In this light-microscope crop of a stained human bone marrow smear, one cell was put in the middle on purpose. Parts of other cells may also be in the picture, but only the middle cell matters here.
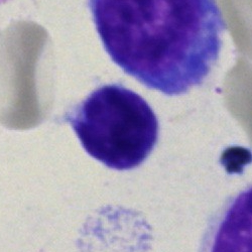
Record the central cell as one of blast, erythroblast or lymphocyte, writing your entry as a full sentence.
This crop has a lymphocyte at its centre.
